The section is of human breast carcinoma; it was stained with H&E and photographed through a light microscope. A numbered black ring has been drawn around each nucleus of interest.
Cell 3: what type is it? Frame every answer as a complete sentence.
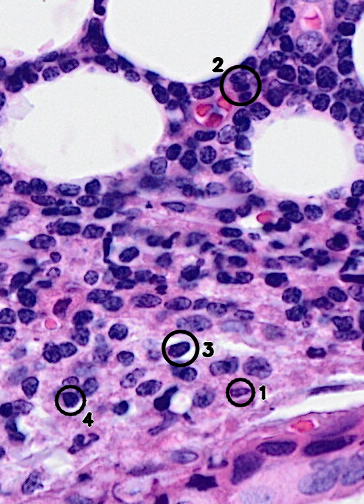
Heads up, the cell numbered 3 is a lymphocyte.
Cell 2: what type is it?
The cell indicated with the number 2 is classed as a lymphocyte.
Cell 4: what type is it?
The cell identified by the number 4 is a lymphocyte.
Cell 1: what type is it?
The numeral 1 marks a macrophage, monocyte or dendritic cell in this section.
